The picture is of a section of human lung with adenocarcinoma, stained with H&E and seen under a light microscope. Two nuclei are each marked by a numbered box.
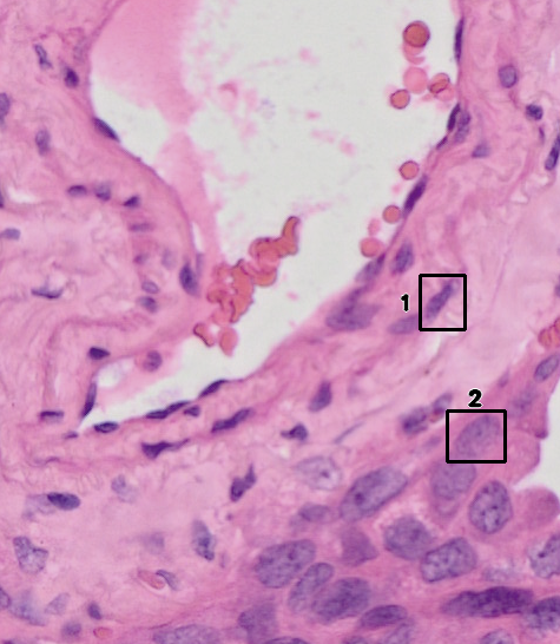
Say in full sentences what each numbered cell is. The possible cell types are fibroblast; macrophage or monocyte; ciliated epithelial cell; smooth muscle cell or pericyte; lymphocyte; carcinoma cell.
Cell 1 is a smooth muscle cell or pericyte and cell 2 is a carcinoma cell.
